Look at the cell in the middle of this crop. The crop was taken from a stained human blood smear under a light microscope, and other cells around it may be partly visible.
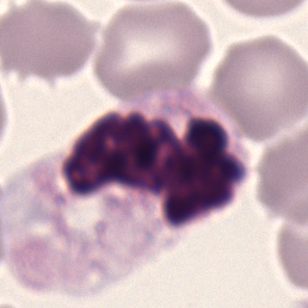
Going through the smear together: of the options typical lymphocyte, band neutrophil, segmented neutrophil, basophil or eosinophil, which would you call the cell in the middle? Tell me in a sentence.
The centrally positioned cell in the crop represents a segmented neutrophil.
